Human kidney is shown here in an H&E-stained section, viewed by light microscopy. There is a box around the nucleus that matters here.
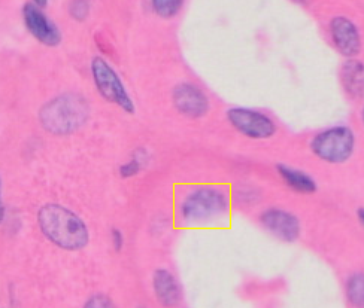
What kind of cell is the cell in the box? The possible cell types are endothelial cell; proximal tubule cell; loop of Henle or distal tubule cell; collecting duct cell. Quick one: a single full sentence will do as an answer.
In the tissue at hand, the cell in the box is a loop of Henle or distal tubule cell.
